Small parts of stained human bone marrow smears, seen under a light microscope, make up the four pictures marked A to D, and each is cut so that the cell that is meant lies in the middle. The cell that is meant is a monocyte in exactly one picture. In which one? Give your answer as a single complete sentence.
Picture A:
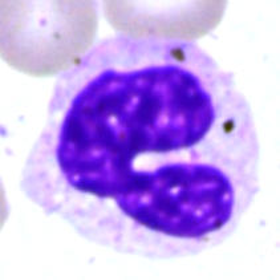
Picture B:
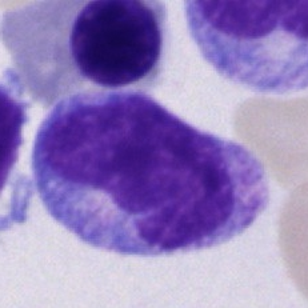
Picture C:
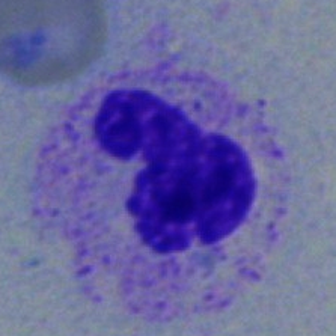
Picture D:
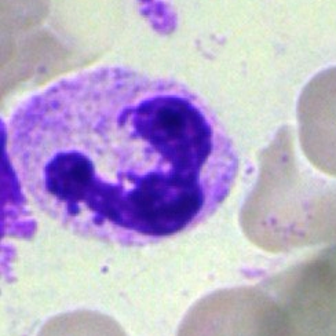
The monocyte is the one in picture B.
